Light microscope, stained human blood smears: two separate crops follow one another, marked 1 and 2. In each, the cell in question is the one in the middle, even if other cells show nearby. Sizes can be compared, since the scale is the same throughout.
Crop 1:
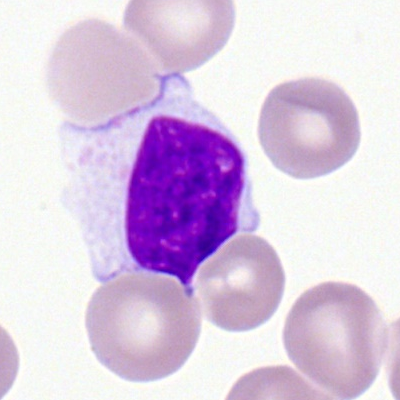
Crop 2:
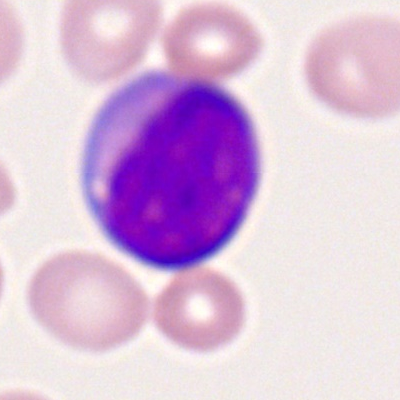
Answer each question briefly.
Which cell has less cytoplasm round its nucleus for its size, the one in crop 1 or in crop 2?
2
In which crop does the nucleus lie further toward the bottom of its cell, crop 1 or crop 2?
2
